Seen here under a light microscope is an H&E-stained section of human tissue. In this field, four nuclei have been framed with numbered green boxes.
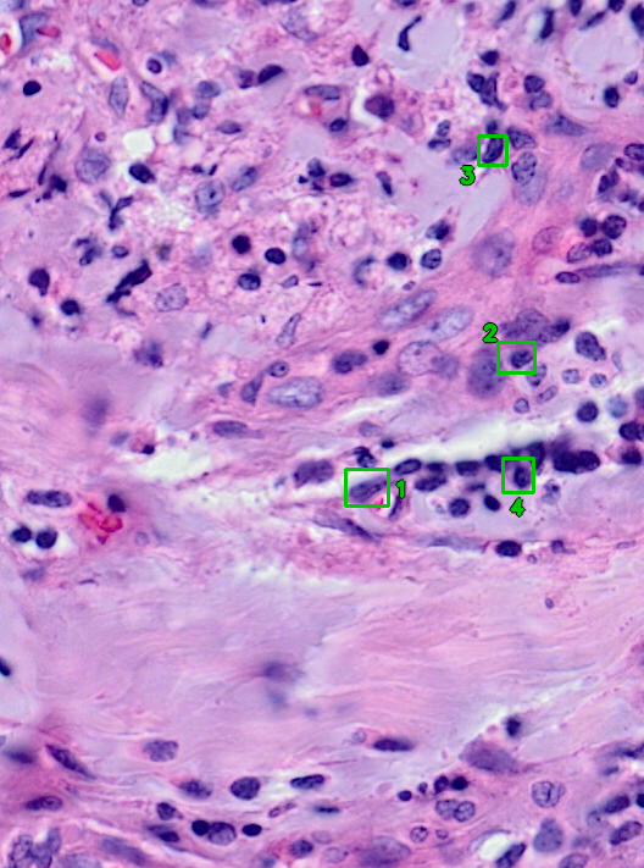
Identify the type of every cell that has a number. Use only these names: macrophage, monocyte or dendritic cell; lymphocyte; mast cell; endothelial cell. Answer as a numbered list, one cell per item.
1. endothelial cell
2. lymphocyte
3. lymphocyte
4. lymphocyte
